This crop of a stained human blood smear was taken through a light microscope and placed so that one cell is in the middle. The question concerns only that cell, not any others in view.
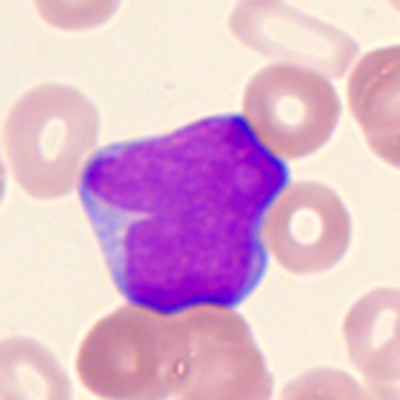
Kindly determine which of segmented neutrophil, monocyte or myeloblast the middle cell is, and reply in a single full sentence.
The central cell, amid any neighbouring cells, is a myeloblast.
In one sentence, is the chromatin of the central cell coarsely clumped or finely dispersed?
Coarse clumps are absent, and the chromatin is fine throughout.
